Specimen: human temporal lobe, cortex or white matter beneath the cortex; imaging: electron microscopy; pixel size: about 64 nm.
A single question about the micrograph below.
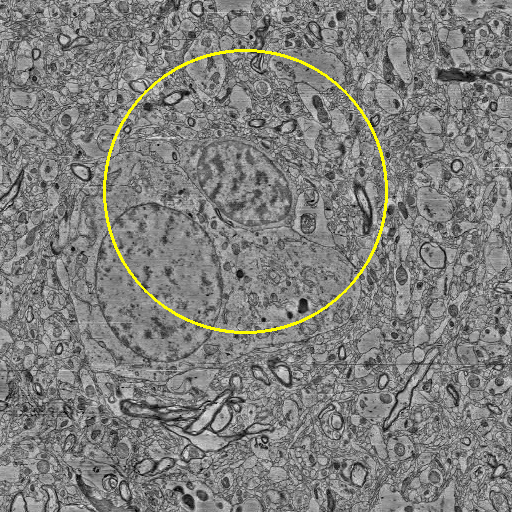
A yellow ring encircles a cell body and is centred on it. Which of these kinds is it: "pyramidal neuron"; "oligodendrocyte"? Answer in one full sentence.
The cell body at the centre of the yellow ring belongs to an oligodendrocyte.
